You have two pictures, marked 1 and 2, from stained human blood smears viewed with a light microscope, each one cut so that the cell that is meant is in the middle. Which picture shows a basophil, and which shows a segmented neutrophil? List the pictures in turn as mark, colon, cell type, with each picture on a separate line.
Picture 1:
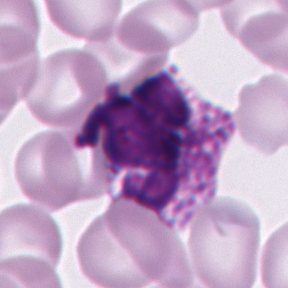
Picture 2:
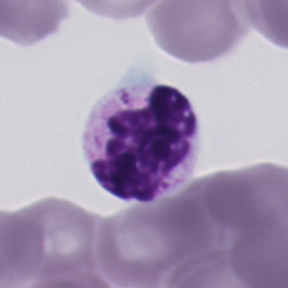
1: basophil
2: segmented neutrophil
